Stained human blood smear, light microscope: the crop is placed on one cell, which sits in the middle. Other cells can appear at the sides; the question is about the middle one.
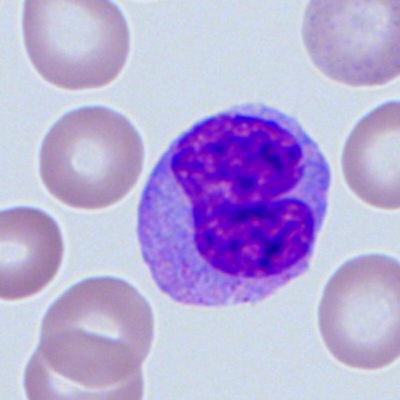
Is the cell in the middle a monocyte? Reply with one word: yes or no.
yes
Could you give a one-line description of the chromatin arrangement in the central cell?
Chromatin in the nucleus here is coarsely clumped.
